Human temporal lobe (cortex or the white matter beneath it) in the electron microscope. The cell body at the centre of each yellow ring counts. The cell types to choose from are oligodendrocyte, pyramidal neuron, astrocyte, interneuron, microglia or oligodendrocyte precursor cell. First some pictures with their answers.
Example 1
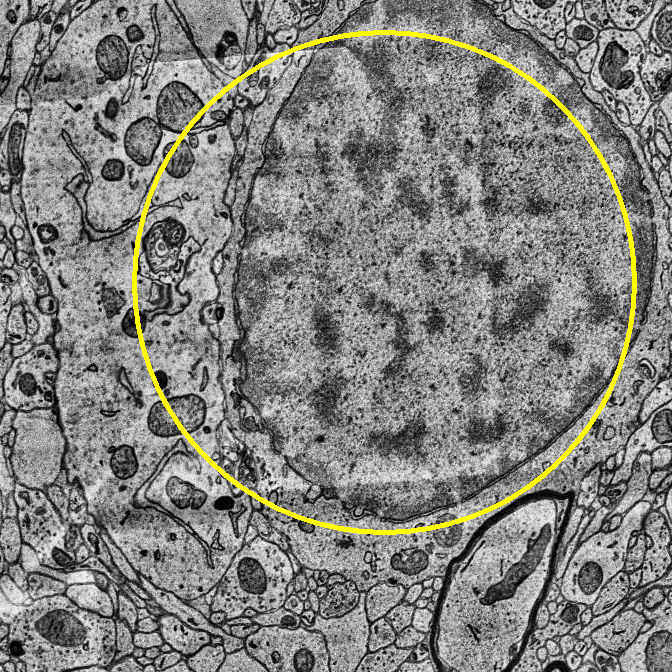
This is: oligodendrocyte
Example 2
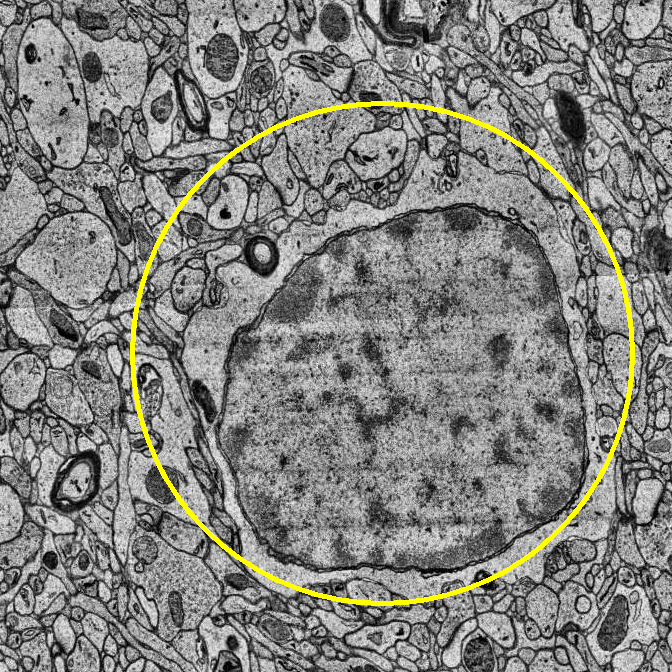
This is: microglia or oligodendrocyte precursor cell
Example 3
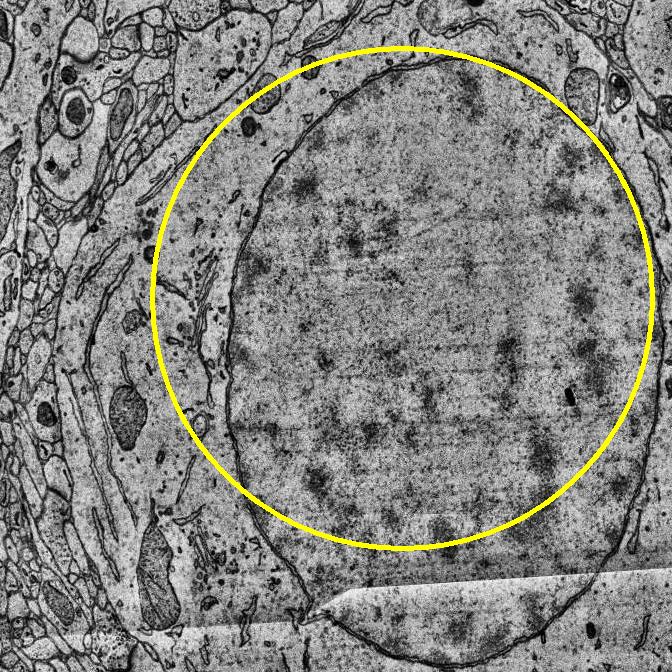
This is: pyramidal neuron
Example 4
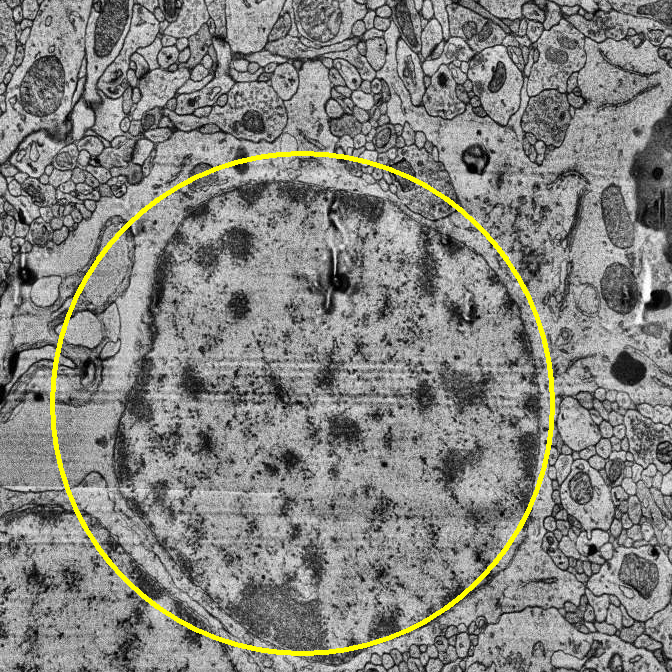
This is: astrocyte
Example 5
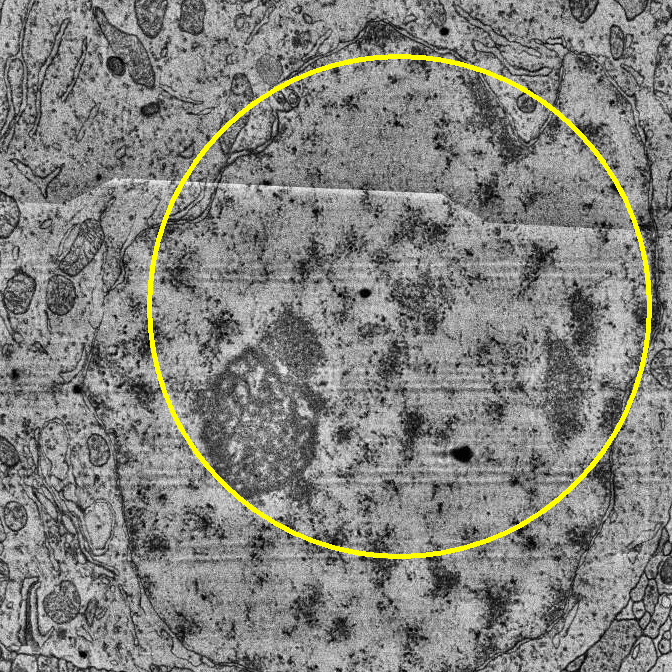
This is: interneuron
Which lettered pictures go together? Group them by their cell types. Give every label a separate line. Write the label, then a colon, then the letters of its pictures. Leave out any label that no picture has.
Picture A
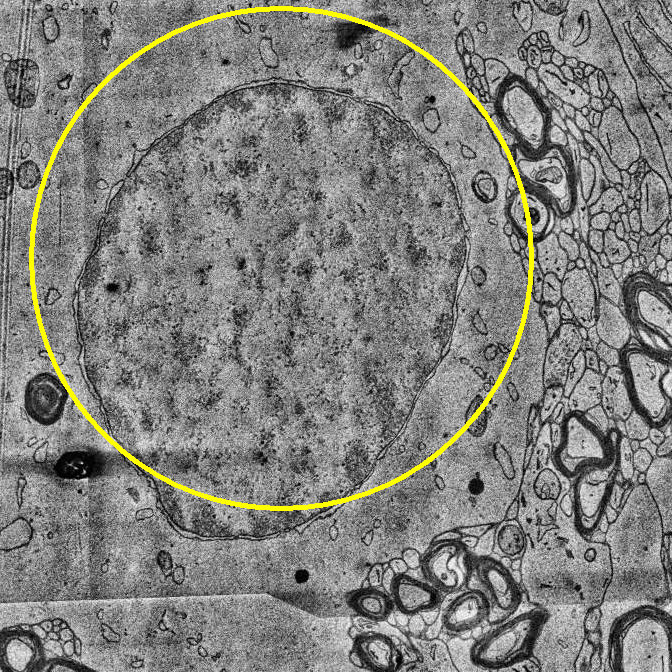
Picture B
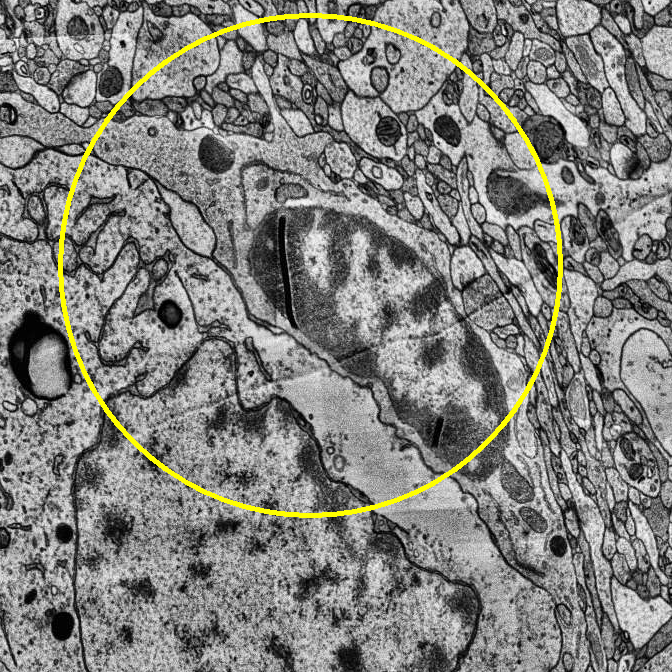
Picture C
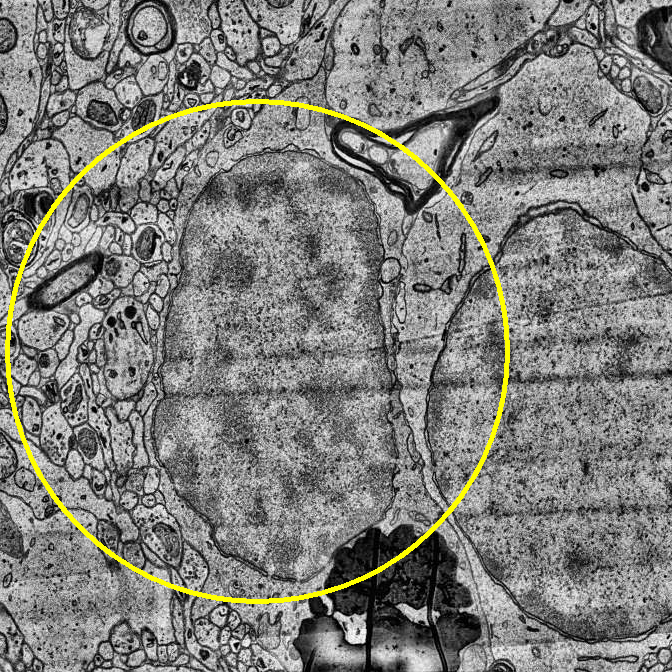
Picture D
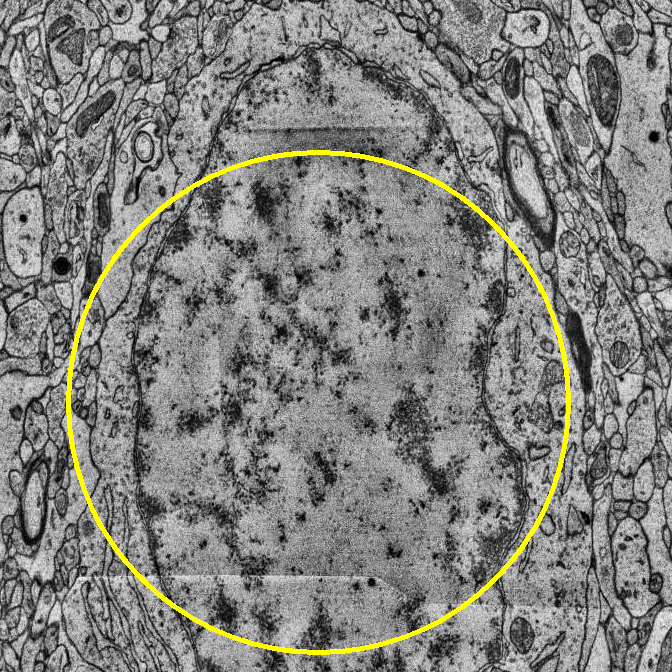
oligodendrocyte: C
astrocyte: A
interneuron: D
microglia or oligodendrocyte precursor cell: B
